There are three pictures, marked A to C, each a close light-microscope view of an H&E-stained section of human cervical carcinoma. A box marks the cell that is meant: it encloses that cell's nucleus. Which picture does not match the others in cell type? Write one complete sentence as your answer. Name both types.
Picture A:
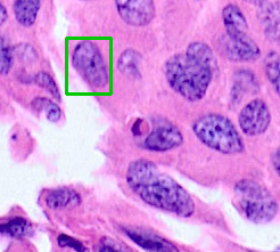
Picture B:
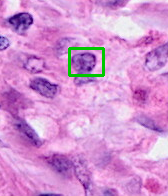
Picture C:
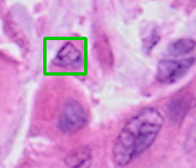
Picture A differs, because its cell is a squamous carcinoma cell and the rest are “macrophages or monocytes”.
